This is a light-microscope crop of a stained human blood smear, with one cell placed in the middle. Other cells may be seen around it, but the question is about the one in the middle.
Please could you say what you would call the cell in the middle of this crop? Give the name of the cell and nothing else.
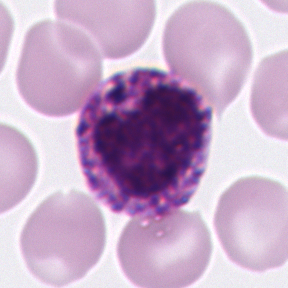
basophil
